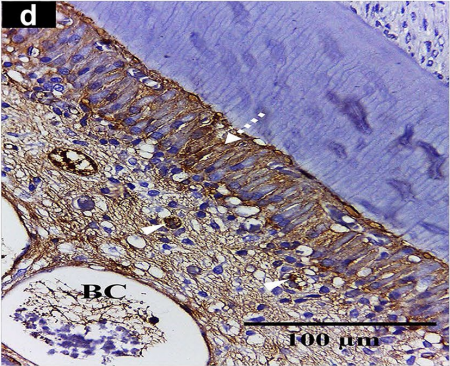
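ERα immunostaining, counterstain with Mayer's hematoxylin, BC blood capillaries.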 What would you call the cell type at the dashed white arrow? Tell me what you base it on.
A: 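The arrow points into a single palisade of tall columnar cells. This cell layer lies directly against the pale purple band of hard tissue at the upper right. The cytoplasm of these cells is stained brown. That points to this answer: odontoblasts.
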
